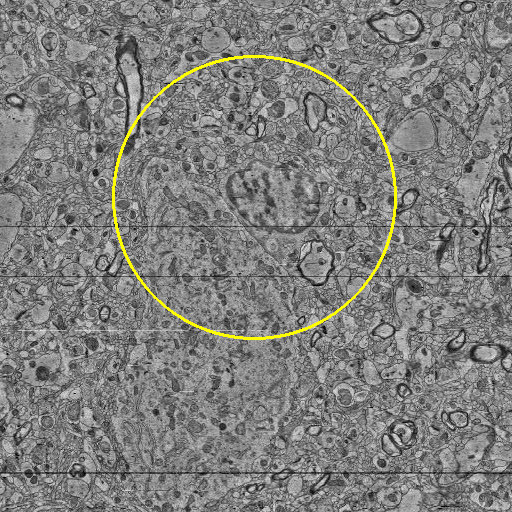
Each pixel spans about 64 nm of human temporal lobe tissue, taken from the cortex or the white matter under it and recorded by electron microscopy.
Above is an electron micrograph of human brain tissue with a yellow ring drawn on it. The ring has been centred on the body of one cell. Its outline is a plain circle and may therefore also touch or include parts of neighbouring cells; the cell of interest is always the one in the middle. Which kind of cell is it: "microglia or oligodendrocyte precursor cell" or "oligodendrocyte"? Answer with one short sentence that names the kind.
The ring's central cell body is that of an oligodendrocyte.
